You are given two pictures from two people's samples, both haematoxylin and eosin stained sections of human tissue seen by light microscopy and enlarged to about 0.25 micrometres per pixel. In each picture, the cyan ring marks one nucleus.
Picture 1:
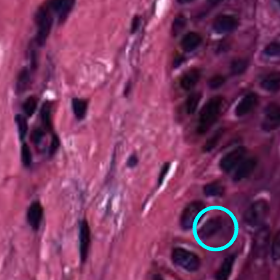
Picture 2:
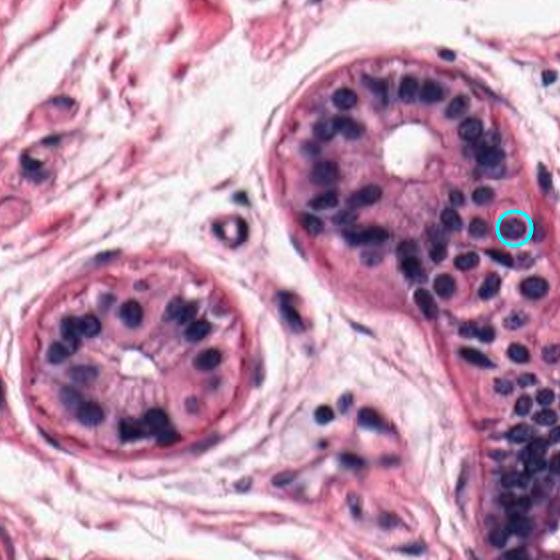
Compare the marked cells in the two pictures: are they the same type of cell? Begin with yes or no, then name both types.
No, the first is a keratinocyte and the second a sweat gland cell.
